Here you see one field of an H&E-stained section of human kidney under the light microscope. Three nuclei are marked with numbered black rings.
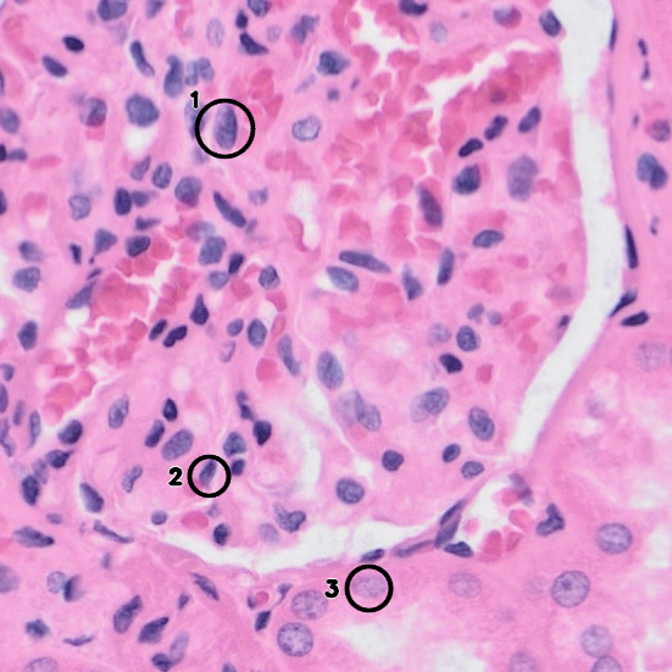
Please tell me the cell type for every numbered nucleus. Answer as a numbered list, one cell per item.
1. endothelial cell
2. endothelial cell
3. proximal tubule cell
